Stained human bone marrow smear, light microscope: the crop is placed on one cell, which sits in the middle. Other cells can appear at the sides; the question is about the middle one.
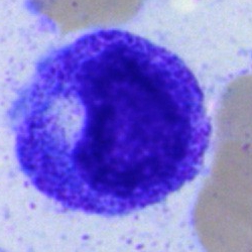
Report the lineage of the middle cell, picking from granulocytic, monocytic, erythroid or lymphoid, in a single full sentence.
For the cell at the center, the lineage is granulocytic.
